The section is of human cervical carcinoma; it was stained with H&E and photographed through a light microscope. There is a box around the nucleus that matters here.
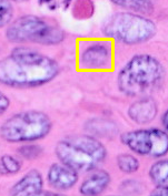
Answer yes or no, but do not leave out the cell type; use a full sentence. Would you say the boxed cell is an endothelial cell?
No, as a cell type, the boxed cell is a squamous carcinoma cell rather than an endothelial cell.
